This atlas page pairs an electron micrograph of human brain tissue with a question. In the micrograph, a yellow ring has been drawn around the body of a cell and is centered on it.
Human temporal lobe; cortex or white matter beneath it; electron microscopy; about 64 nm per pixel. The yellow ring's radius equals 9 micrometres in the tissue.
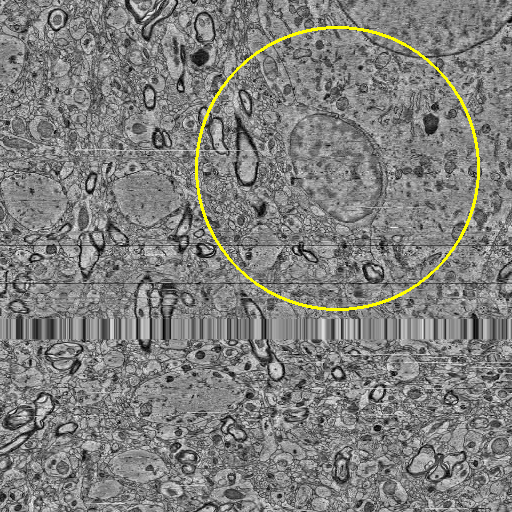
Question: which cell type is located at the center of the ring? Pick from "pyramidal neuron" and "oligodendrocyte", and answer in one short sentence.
Located at the center of the ring is an oligodendrocyte.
